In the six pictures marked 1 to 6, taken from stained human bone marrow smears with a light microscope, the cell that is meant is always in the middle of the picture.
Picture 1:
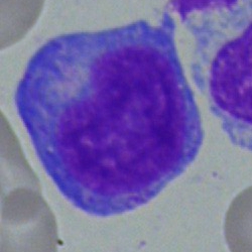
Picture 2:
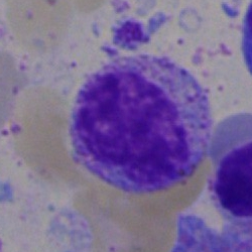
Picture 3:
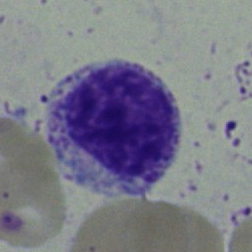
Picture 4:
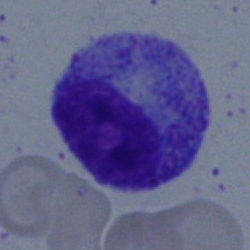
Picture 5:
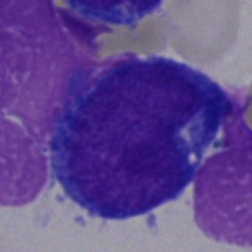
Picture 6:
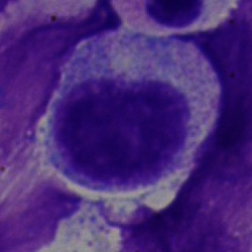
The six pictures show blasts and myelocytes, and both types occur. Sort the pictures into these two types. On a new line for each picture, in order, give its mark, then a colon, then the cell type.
1: blast
2: myelocyte
3: myelocyte
4: myelocyte
5: blast
6: myelocyte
